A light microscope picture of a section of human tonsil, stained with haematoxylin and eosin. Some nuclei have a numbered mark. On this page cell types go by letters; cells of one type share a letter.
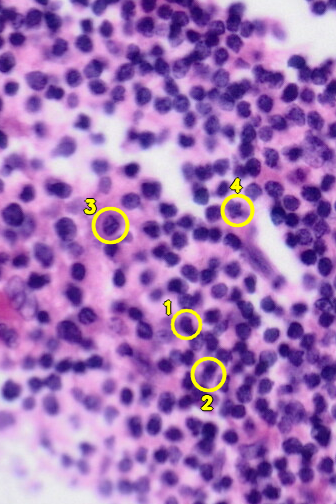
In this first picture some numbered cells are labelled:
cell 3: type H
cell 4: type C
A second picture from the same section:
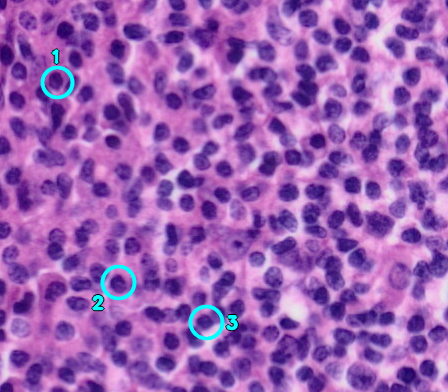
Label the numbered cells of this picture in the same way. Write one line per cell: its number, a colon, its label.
1: type H
2: type H
3: type C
